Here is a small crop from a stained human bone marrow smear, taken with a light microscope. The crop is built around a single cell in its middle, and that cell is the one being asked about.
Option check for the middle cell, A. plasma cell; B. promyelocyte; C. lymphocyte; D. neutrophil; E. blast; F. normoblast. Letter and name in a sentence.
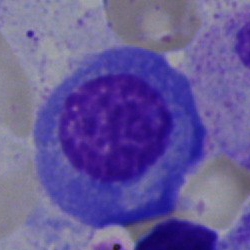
The cell placed in the middle is a plasma cell; option A is correct.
